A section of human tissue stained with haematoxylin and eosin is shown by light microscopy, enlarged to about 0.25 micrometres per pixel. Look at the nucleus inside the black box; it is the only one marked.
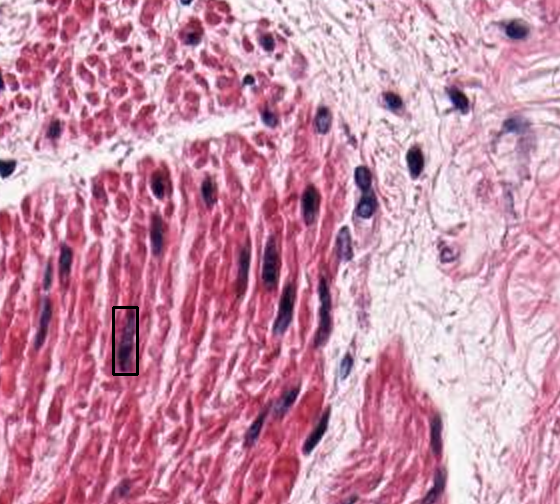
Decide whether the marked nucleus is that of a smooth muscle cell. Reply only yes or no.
yes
